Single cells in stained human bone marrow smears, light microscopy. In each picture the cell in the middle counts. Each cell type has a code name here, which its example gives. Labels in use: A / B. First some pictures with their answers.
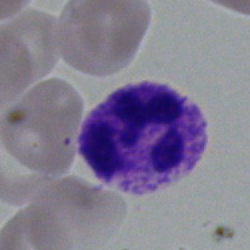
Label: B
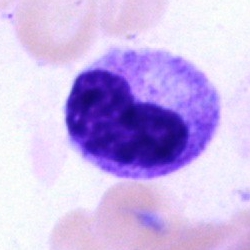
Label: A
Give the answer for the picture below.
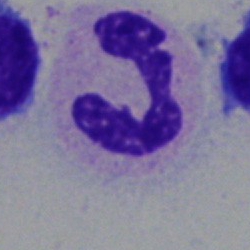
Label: B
